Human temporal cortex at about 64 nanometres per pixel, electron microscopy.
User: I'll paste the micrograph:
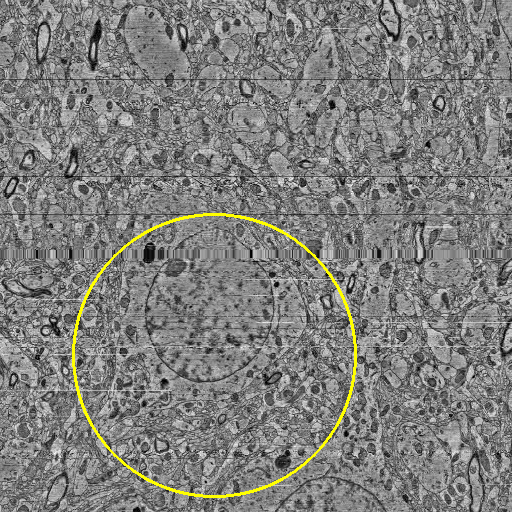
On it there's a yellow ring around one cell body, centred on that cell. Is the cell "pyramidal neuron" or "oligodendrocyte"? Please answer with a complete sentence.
The cell ringed in yellow is a pyramidal neuron.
